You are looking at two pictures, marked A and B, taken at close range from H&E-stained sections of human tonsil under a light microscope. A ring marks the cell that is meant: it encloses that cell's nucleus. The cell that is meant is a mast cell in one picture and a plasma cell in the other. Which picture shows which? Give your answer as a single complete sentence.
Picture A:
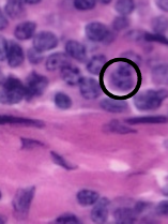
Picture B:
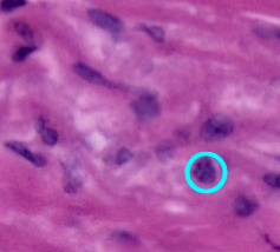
It is picture A that shows a plasma cell, and picture B that shows a mast cell.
